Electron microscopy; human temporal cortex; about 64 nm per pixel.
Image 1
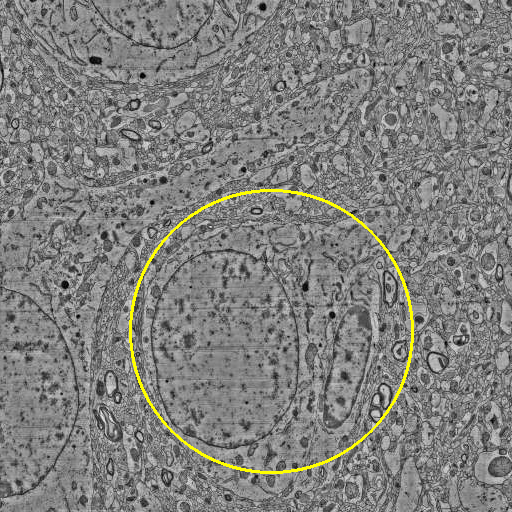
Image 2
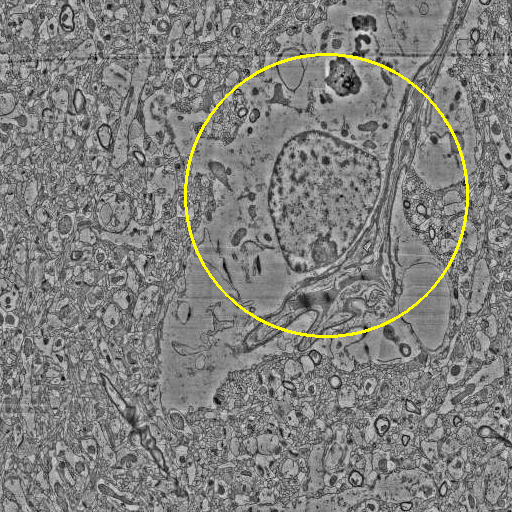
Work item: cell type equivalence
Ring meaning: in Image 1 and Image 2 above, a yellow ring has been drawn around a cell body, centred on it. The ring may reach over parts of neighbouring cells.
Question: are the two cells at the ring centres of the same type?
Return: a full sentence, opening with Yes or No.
No, the two centred cells are of two types.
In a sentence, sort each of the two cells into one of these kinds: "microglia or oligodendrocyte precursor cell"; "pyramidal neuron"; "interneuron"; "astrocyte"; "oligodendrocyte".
The first of the two cells is a pyramidal neuron, and the second is an astrocyte.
